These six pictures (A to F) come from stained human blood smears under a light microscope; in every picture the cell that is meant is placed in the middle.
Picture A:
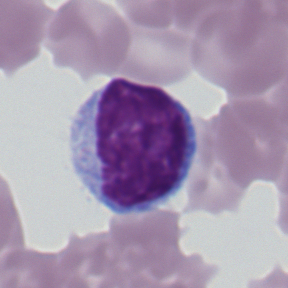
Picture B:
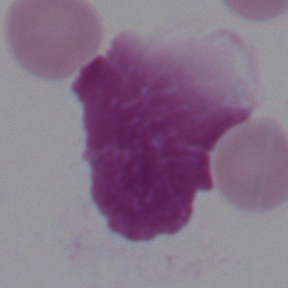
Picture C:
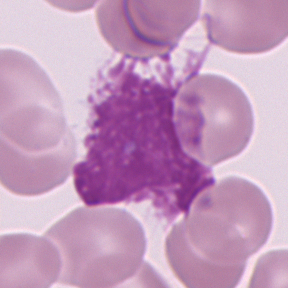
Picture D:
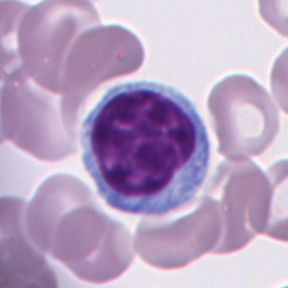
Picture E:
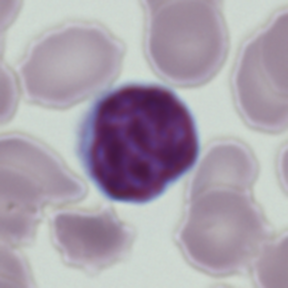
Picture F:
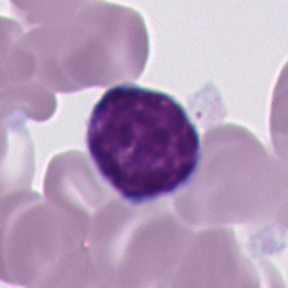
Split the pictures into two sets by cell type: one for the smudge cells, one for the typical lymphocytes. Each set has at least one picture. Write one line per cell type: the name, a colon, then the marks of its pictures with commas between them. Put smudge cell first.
smudge cell: B, C
typical lymphocyte: A, D, E, F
